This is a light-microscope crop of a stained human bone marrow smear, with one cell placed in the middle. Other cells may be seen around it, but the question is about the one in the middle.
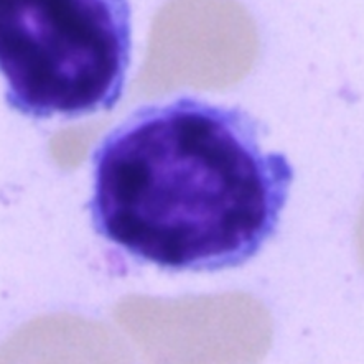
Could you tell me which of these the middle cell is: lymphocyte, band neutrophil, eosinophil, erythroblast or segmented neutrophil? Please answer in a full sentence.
The cell featured at the centre of this crop is a lymphocyte.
